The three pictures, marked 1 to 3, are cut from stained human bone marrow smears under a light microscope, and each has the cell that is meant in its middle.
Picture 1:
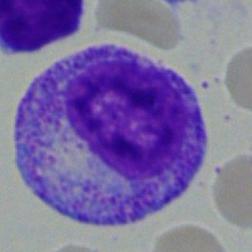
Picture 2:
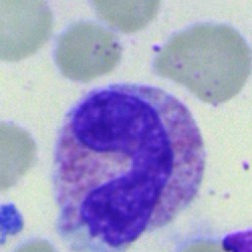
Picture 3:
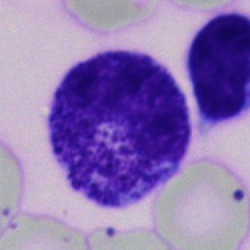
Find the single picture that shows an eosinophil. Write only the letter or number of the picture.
2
